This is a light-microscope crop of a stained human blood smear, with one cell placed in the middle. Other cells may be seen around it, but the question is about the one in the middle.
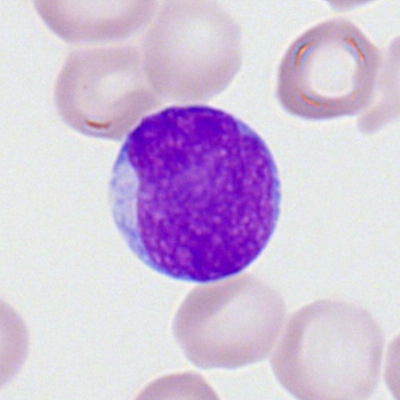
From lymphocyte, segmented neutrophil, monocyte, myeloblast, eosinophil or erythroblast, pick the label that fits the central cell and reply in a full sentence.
Framed in the middle of the crop is a myeloblast.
